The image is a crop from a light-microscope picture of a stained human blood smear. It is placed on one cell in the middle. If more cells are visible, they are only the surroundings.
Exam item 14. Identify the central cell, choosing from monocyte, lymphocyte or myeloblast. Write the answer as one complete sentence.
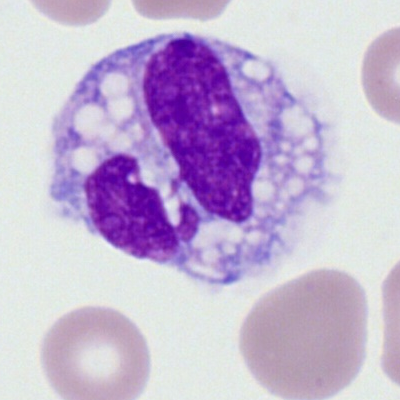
In this smear crop, the middle cell is a monocyte.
